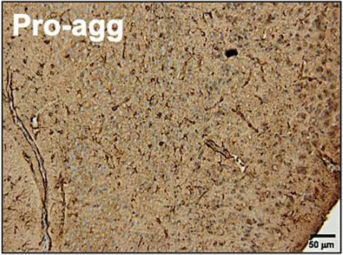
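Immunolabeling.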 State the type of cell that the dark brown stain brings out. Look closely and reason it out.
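Dark brown star-shaped cells with several fine radiating processes are scattered through the tissue. The stained processes also line the blood vessels and the pial surface. The answer: Astrocytes.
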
